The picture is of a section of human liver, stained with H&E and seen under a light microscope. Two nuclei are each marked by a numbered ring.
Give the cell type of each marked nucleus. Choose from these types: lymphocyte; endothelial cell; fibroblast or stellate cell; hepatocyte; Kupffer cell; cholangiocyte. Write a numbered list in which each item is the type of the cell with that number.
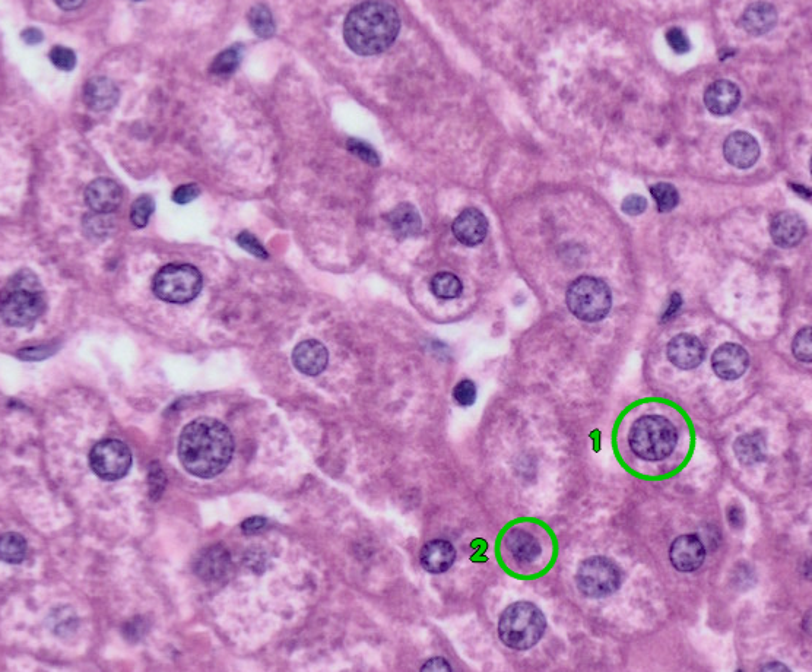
1. hepatocyte
2. endothelial cell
